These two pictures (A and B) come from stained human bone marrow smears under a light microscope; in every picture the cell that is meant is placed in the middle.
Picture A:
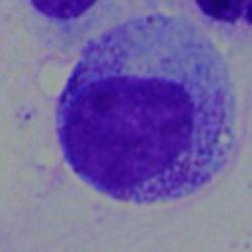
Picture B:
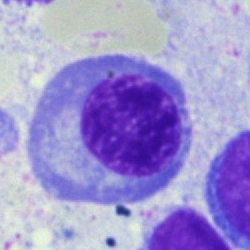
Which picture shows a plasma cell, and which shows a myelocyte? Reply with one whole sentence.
Picture A is of a myelocyte, and picture B is of a plasma cell.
